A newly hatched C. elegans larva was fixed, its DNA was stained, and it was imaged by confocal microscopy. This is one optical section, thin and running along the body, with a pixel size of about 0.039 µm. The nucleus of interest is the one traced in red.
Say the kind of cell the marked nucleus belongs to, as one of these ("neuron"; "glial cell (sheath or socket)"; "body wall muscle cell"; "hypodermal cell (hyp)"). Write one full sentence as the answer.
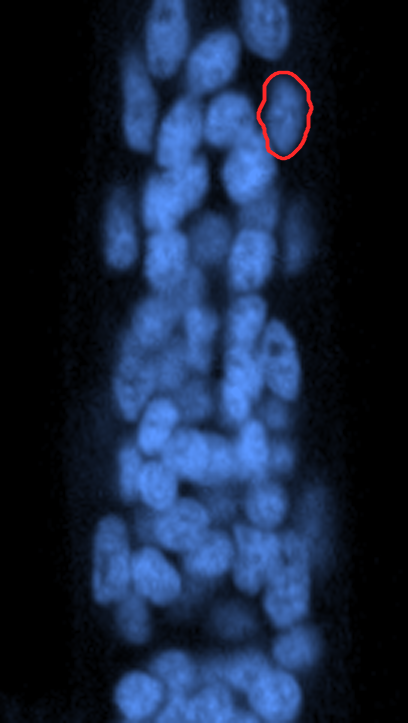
The cell with the marked nucleus is a body wall muscle cell.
